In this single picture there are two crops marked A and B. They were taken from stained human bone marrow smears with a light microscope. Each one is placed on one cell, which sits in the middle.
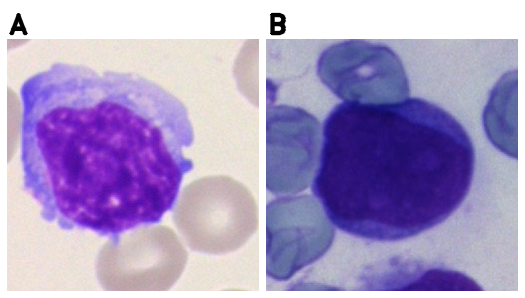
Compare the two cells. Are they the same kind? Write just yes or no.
yes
